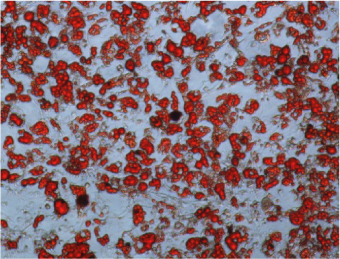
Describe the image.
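The red droplets fill most of each cell, so that nuclei and cytoplasm are hardly seen. Between the red cells lies a pale blue background with some faint, unstained cell outlines.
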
